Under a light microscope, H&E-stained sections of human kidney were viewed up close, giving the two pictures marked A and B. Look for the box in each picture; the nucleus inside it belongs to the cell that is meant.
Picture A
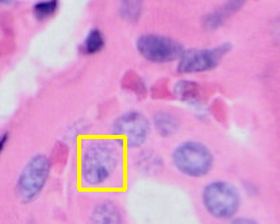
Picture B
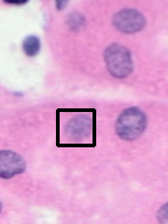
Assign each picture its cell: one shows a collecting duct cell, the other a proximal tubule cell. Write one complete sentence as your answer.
In picture A the cell is a collecting duct cell; in picture B, a proximal tubule cell.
